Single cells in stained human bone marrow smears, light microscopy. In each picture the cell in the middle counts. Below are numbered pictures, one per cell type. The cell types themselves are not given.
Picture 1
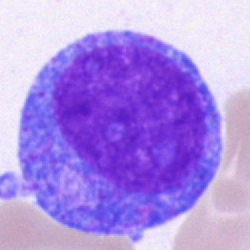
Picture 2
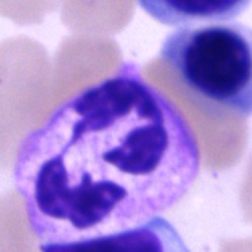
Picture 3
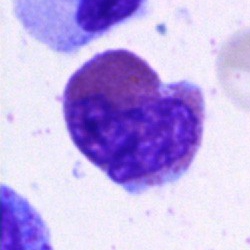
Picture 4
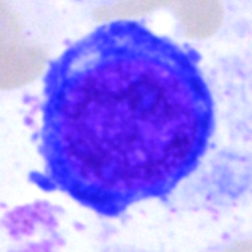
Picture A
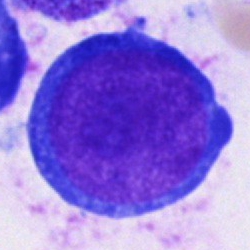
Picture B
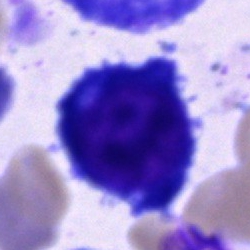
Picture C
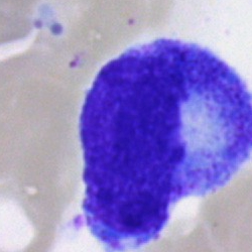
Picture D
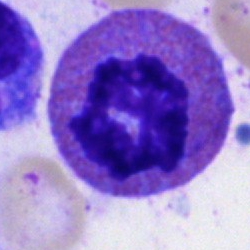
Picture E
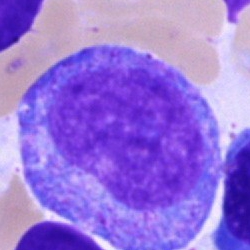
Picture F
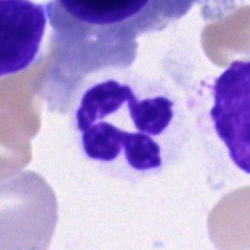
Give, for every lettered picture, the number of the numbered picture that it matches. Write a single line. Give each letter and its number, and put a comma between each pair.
A 4, B 4, C 1, D 3, E 1, F 2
